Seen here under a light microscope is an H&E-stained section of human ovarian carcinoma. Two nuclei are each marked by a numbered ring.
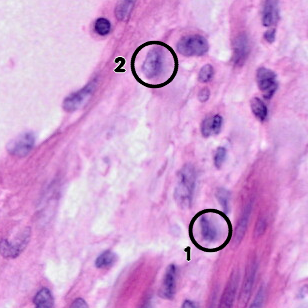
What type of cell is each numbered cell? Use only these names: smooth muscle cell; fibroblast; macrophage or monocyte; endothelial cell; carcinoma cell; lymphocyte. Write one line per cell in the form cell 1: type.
cell 1: macrophage or monocyte
cell 2: fibroblast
